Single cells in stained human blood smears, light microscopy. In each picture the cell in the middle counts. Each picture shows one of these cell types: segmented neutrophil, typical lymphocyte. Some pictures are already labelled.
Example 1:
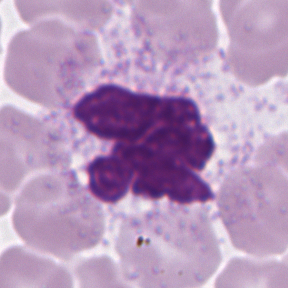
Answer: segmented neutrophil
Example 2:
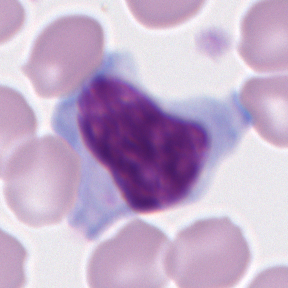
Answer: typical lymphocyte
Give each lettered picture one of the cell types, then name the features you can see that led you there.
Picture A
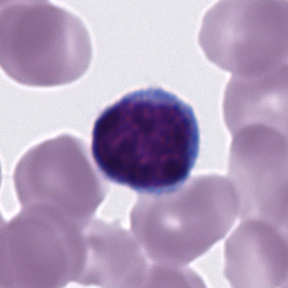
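Answer: typical lymphocyte. The cytoplasm is only a very thin rim around the nucleus.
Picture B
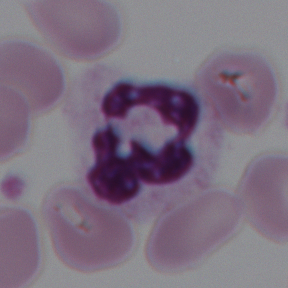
Answer: segmented neutrophil. The cytoplasm is plentiful and pale pinkish-lilac.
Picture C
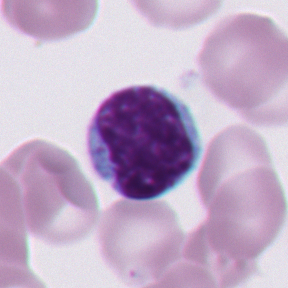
Answer: typical lymphocyte. The cytoplasm forms only a scant rim around the nucleus.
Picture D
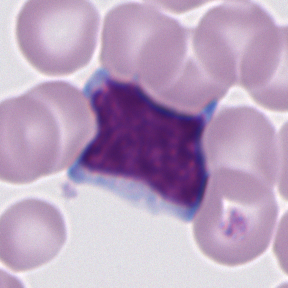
Answer: typical lymphocyte. The nucleus fills most of the cell and follows its angular shape.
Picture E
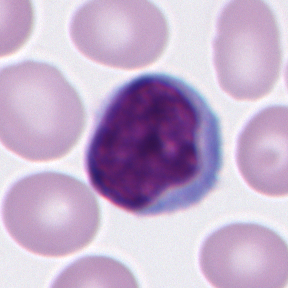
Answer: typical lymphocyte. The cytoplasm forms a thin rim that is widest on the right side of the cell.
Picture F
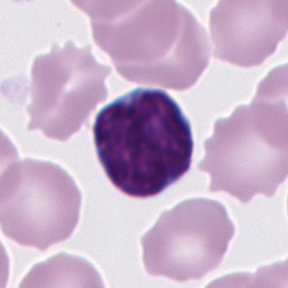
Answer: typical lymphocyte. The cytoplasm shows only as a very thin rim at the edge of the cell.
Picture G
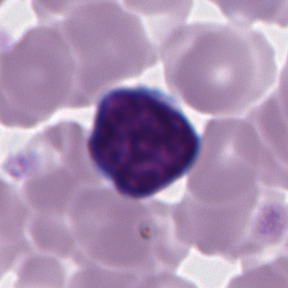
Answer: typical lymphocyte. The nucleus is a single unlobed mass.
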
